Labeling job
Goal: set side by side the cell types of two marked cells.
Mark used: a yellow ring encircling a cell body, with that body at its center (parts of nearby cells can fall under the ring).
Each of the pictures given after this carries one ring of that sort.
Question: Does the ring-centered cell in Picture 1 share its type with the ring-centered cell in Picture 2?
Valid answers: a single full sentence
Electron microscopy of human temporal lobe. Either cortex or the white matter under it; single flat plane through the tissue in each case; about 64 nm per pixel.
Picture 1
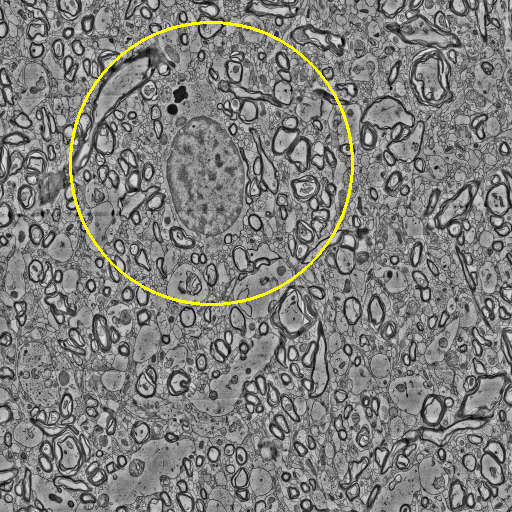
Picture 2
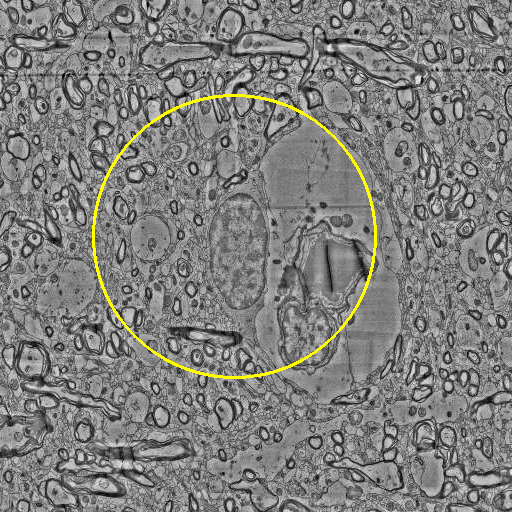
Yes, in Pictures 1 and 2 the cells at the ring centers share one type.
